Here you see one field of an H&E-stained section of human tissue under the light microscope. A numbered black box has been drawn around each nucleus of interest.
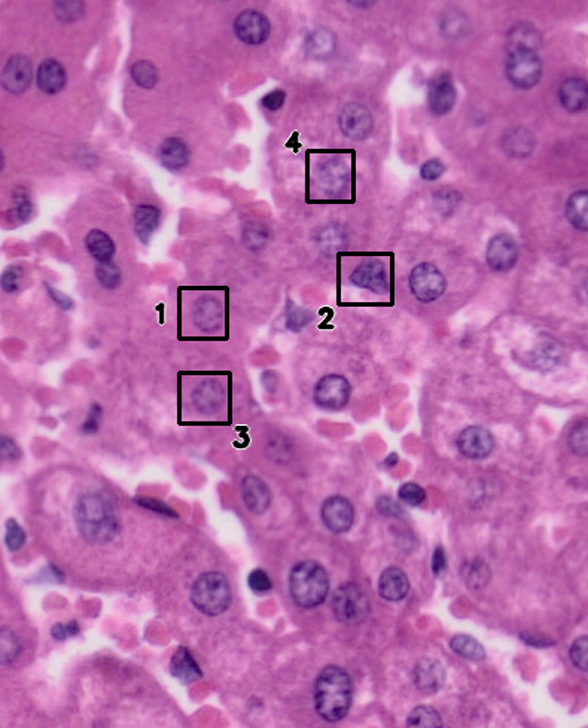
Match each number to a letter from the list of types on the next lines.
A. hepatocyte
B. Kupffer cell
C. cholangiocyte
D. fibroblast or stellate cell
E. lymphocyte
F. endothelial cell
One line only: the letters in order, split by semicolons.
A; F; A; A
